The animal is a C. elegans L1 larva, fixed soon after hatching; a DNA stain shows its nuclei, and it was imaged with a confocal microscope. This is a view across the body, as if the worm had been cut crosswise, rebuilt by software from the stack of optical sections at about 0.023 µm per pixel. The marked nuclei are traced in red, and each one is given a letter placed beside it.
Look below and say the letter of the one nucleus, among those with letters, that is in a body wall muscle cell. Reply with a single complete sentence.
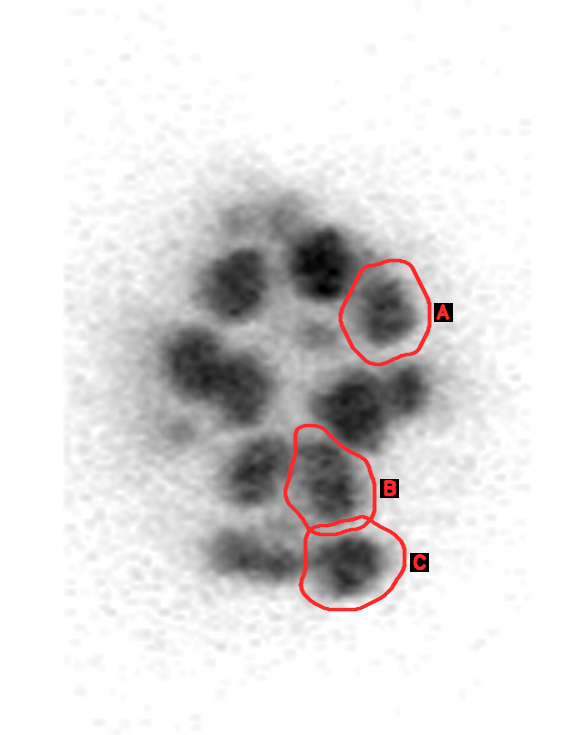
The one from a body wall muscle cell is C.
